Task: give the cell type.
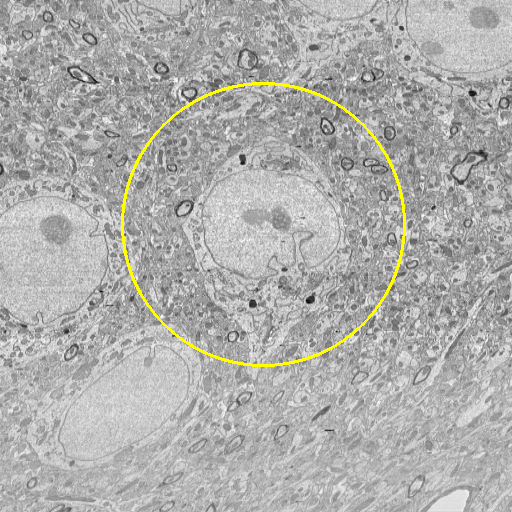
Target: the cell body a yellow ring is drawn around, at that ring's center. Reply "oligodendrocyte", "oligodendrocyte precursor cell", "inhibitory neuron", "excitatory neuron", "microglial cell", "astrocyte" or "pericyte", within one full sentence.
In this picture, the cell whose body lies at the ring's center is an inhibitory neuron.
